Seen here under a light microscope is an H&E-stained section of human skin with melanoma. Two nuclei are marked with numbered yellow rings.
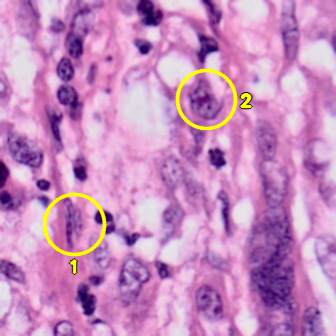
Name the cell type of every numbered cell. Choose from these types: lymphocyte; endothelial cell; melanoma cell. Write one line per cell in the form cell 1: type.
cell 1: endothelial cell
cell 2: melanoma cell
